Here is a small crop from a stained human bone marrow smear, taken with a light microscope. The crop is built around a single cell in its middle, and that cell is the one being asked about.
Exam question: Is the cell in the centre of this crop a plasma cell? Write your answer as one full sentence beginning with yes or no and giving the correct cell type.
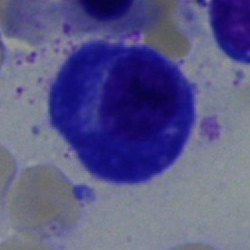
Yes, the cell at the centre is designated a plasma cell.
